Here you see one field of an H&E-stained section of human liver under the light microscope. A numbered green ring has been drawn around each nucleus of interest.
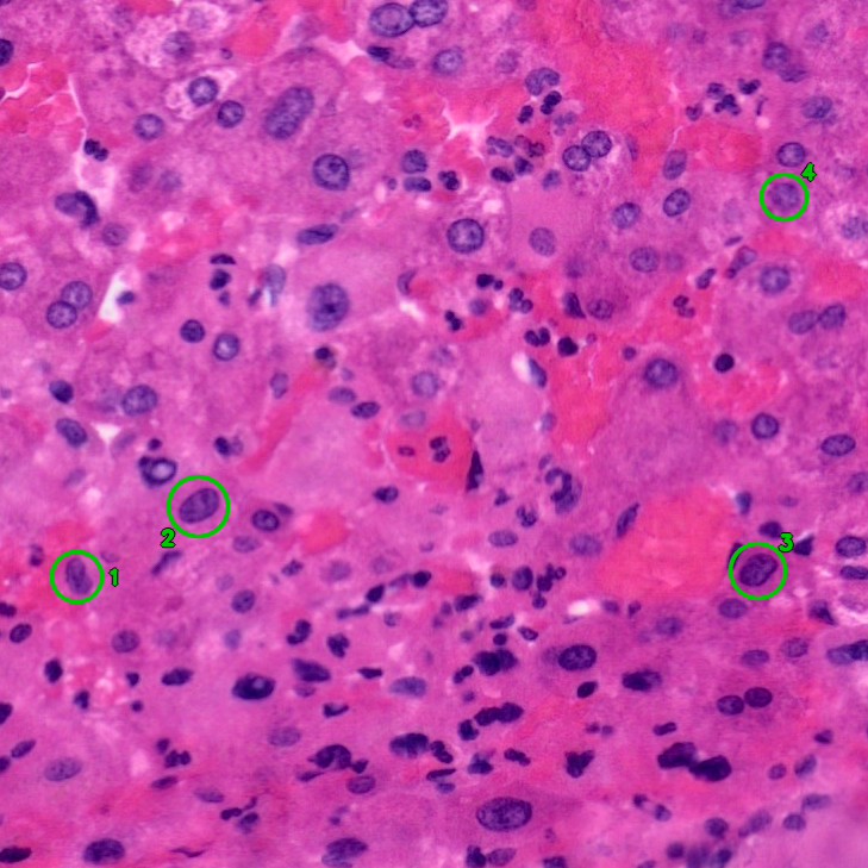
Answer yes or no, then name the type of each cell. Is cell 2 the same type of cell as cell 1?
No, cell 2 is a hepatocyte; cell 1, by contrast, is a Kupffer cell.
